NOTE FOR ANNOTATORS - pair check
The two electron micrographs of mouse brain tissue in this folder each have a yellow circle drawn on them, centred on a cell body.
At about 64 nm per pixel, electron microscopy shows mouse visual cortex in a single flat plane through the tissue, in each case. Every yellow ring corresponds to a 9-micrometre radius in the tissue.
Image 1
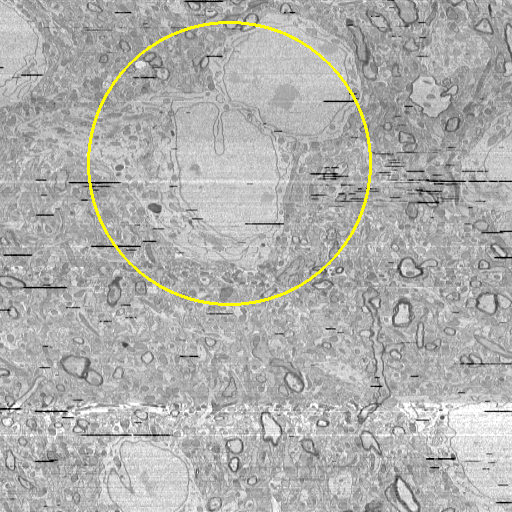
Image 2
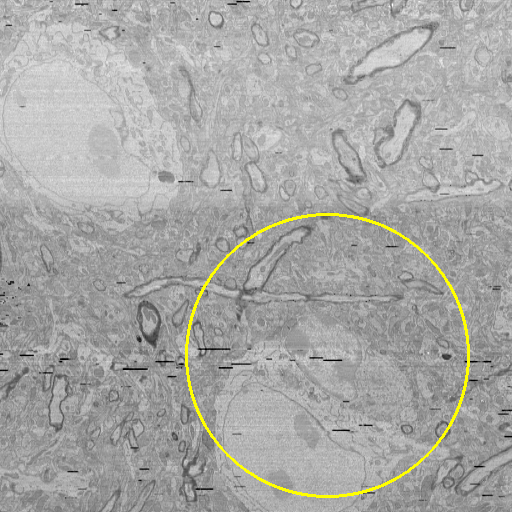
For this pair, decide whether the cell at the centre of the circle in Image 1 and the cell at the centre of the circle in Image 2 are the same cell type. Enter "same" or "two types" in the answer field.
two types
